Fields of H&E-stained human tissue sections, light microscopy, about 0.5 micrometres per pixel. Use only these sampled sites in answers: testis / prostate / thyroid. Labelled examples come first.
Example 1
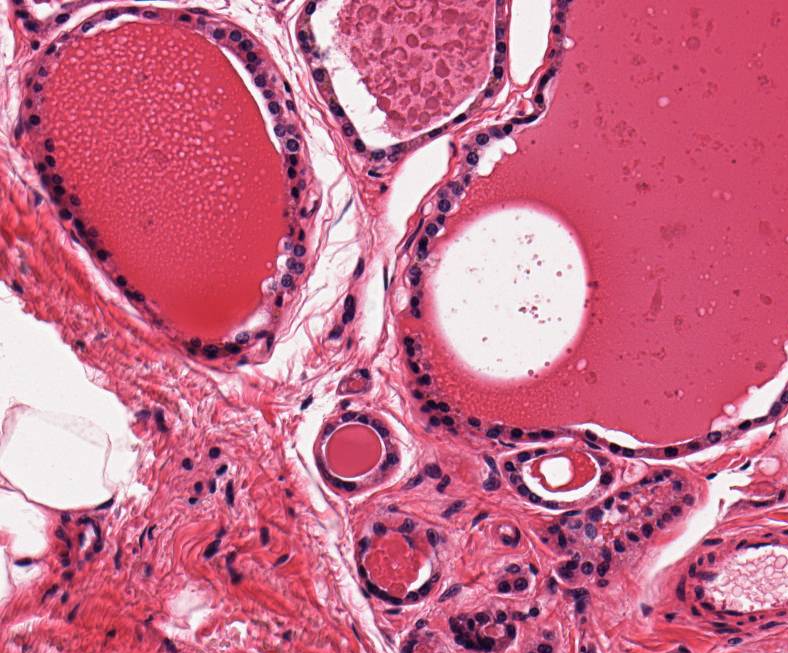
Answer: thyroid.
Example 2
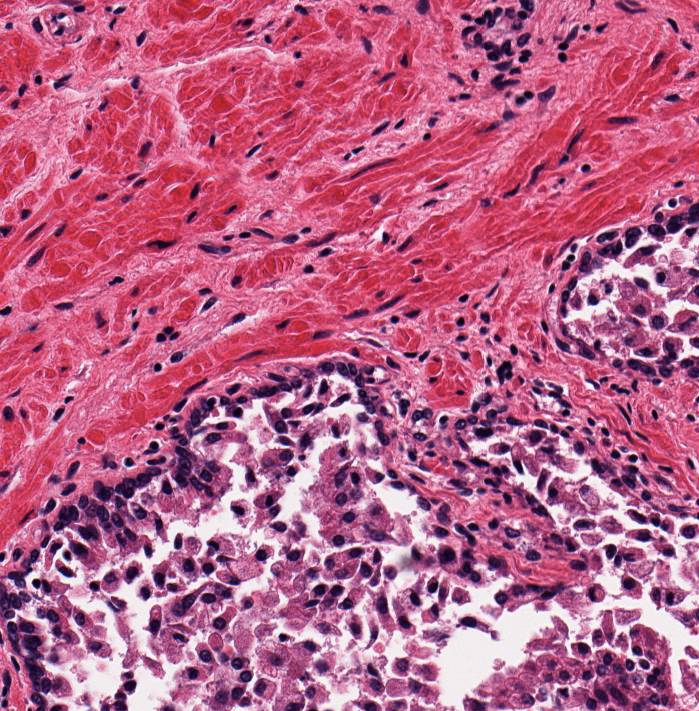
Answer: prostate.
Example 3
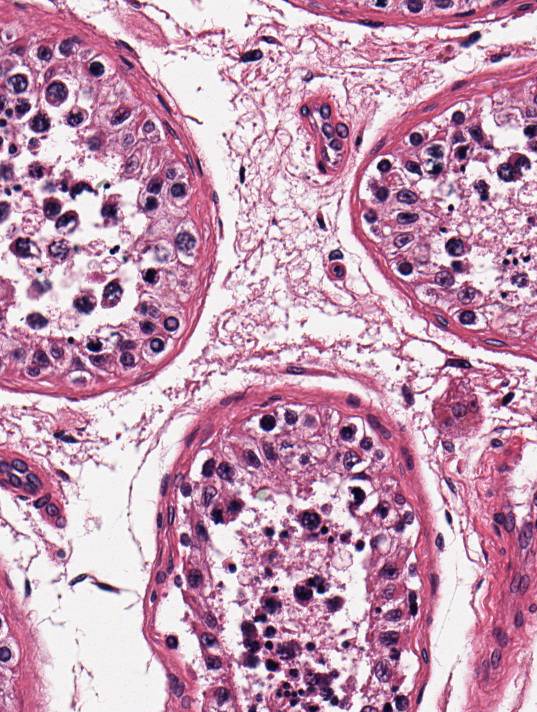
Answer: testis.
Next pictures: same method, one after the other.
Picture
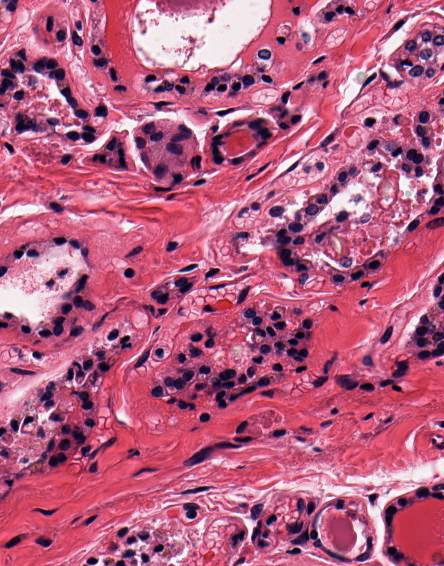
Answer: thyroid.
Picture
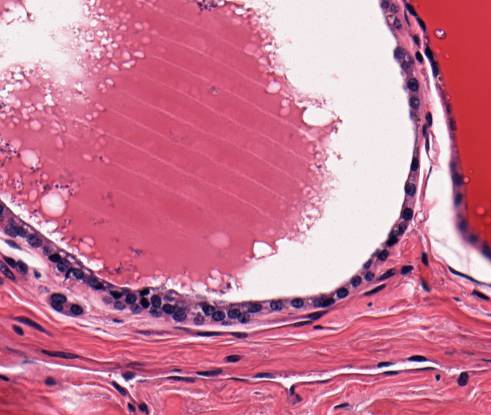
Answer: thyroid.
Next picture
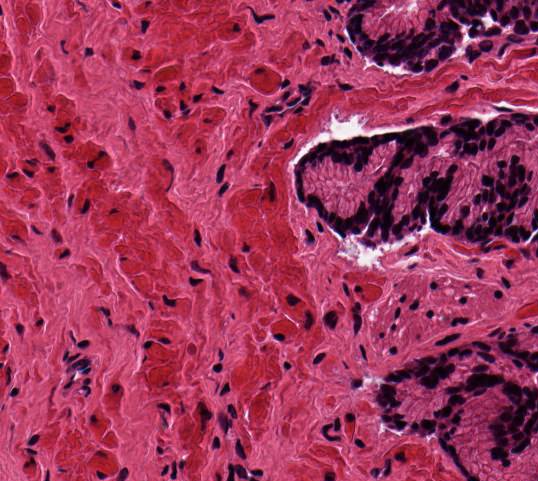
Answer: prostate.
